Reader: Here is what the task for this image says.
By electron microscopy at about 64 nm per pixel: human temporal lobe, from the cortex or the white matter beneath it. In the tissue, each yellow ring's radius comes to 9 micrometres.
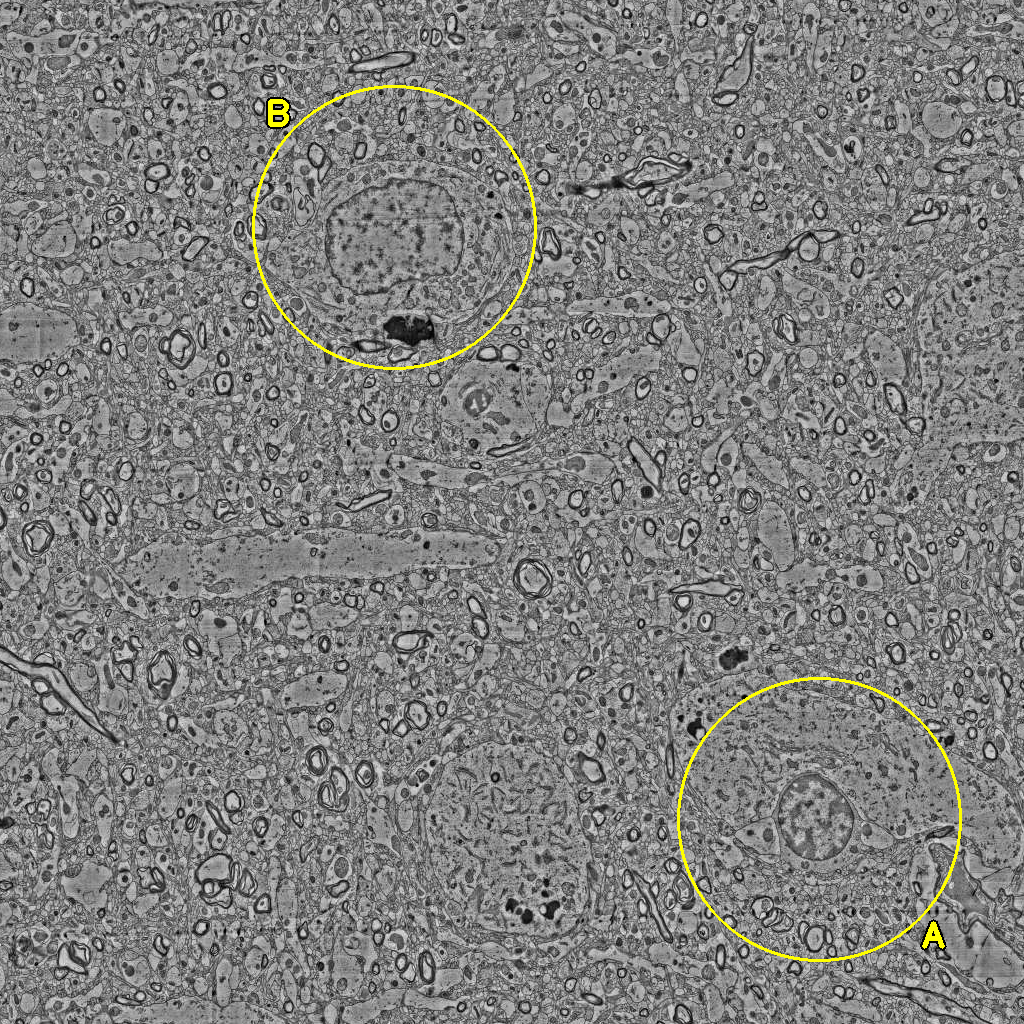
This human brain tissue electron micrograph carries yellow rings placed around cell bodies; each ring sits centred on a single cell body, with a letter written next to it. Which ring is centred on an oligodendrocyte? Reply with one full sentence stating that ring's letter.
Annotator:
Letter A marks the ring whose centre holds the cell asked for.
